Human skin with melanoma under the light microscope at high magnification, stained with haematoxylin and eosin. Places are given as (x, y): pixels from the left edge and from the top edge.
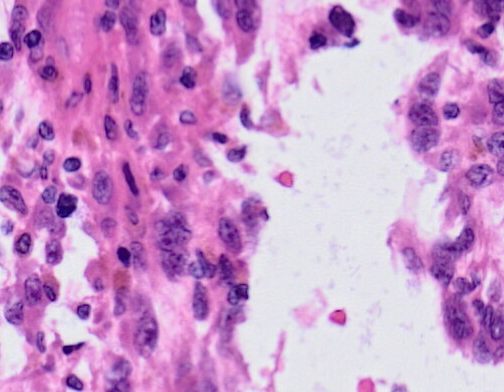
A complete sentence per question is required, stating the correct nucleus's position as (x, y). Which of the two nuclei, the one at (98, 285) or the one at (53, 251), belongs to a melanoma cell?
The cell to which the nucleus at (53, 251) belongs is a melanoma cell.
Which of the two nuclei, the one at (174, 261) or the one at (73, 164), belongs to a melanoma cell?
The nucleus at (174, 261) is contained in a melanoma cell.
